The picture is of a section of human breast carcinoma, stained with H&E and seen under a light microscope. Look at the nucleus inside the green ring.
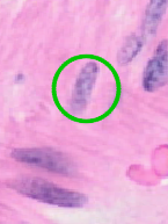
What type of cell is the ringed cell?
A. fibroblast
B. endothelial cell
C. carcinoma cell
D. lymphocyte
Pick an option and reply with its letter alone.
B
